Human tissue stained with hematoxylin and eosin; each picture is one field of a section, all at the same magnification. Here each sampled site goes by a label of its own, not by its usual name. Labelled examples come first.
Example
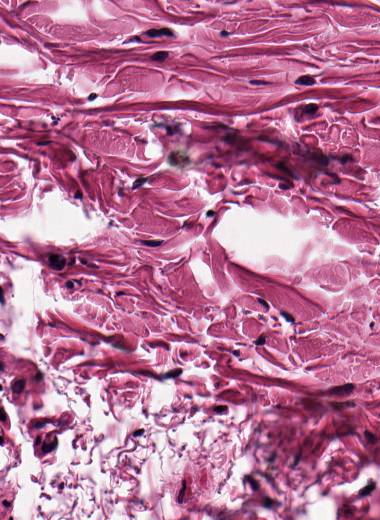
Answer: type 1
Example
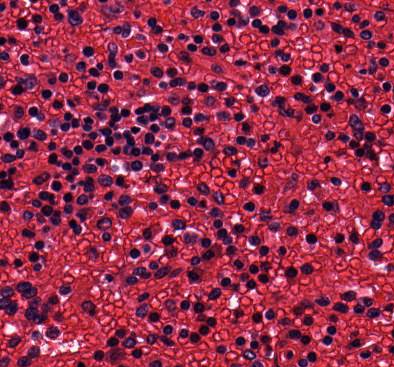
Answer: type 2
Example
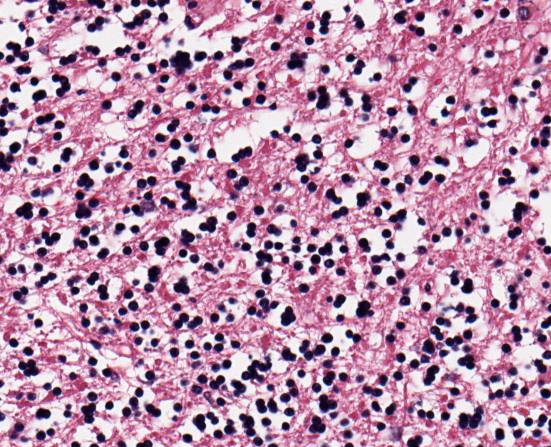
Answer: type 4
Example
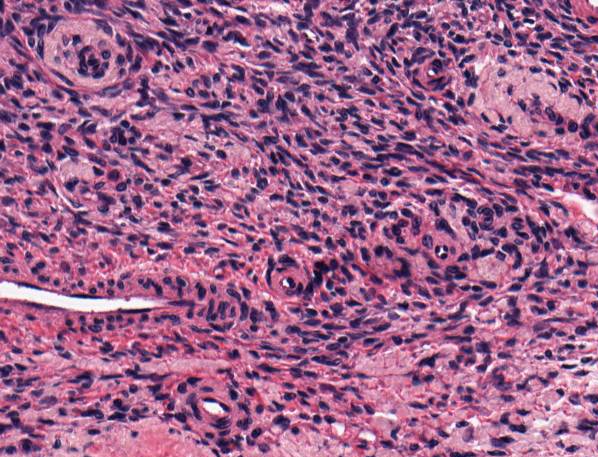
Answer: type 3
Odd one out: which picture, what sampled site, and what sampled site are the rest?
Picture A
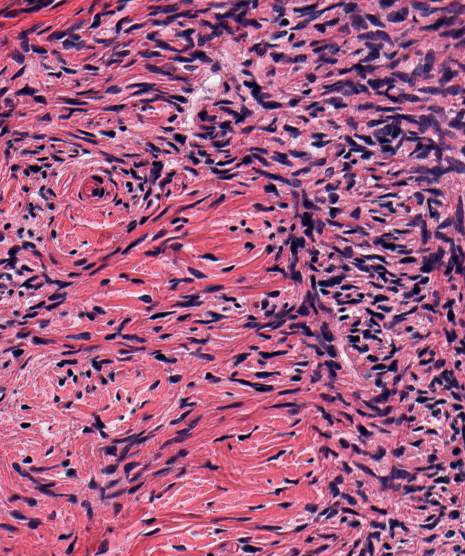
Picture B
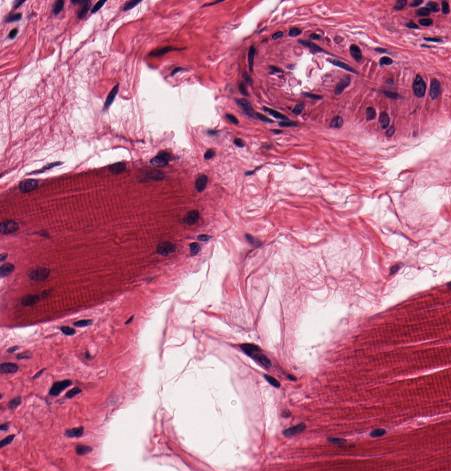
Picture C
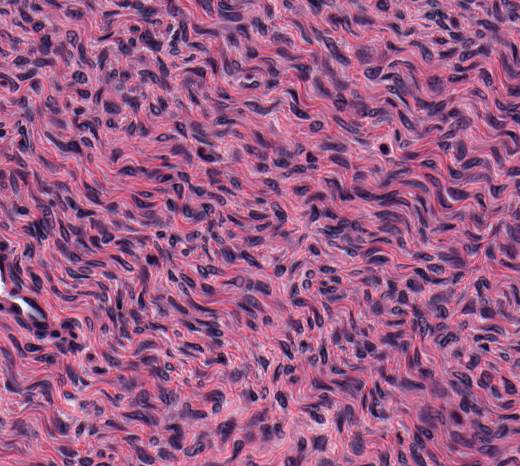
Exception: B, showing type 1. Remaining pictures: type 3.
